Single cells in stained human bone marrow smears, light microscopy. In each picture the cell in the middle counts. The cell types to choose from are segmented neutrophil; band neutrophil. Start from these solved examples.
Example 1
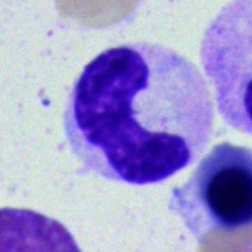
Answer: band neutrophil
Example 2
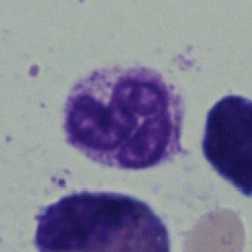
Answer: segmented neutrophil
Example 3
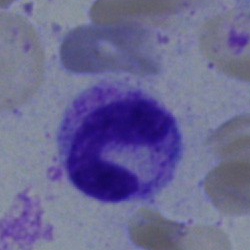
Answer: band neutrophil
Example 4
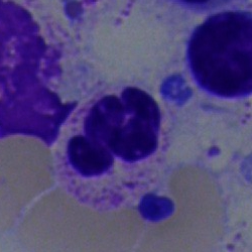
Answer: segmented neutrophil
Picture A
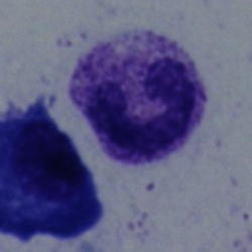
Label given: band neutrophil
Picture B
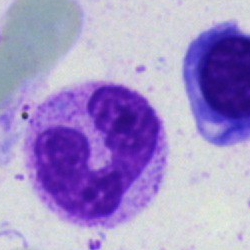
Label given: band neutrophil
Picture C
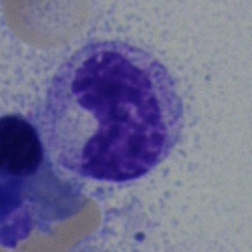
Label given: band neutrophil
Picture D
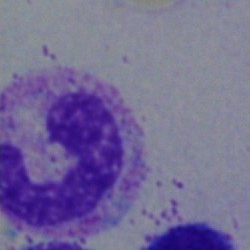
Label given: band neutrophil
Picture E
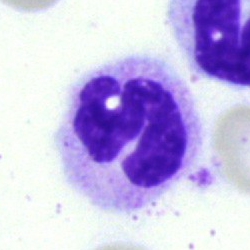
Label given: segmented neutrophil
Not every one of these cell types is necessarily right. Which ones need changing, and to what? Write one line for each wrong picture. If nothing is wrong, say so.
No label is wrong.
